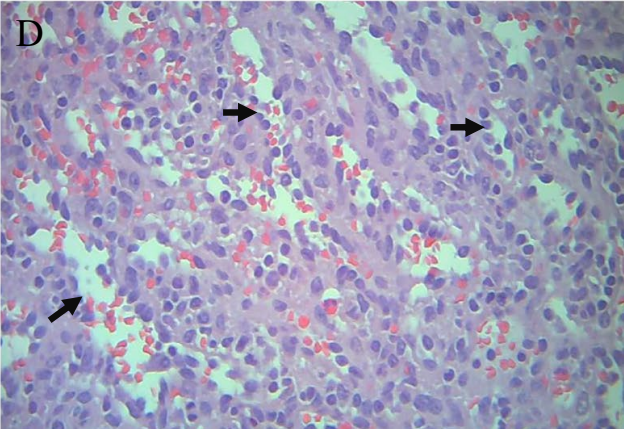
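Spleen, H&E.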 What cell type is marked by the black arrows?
Plump endothelial cells.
